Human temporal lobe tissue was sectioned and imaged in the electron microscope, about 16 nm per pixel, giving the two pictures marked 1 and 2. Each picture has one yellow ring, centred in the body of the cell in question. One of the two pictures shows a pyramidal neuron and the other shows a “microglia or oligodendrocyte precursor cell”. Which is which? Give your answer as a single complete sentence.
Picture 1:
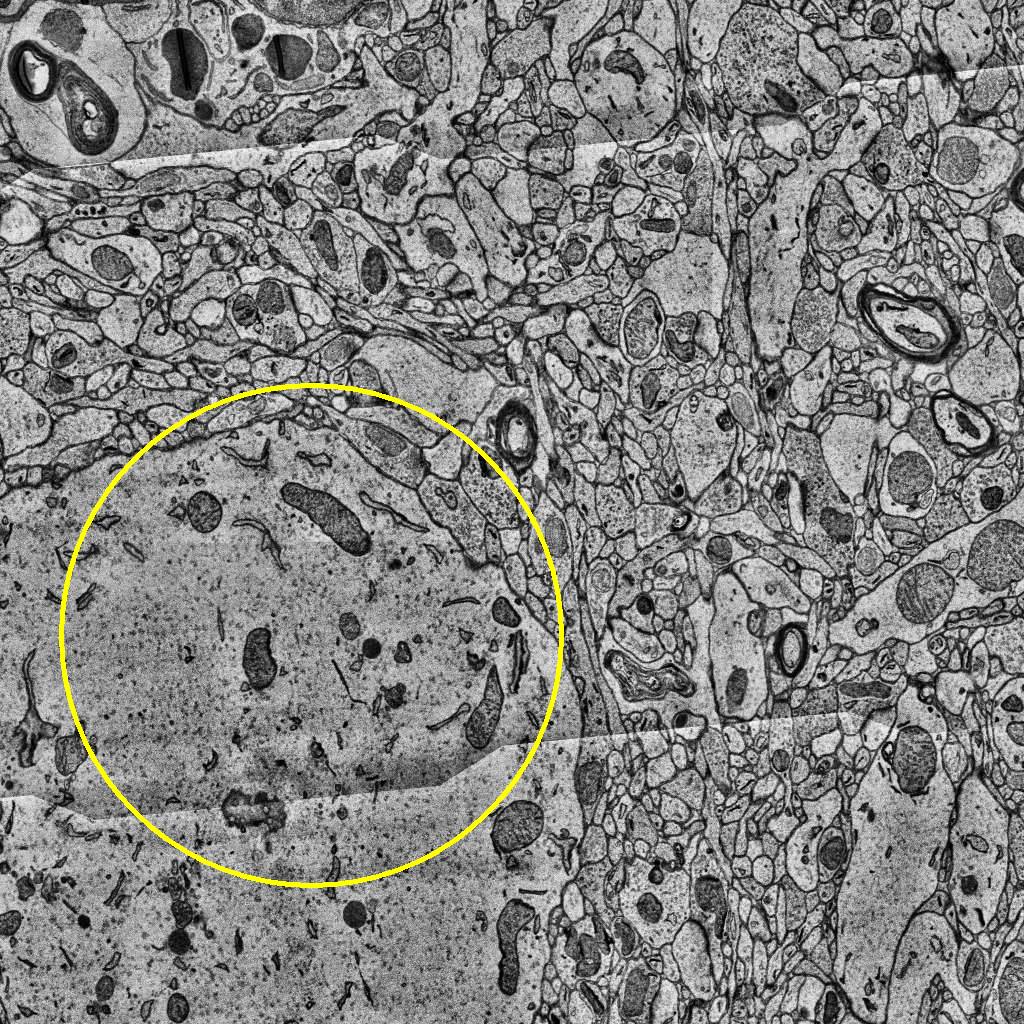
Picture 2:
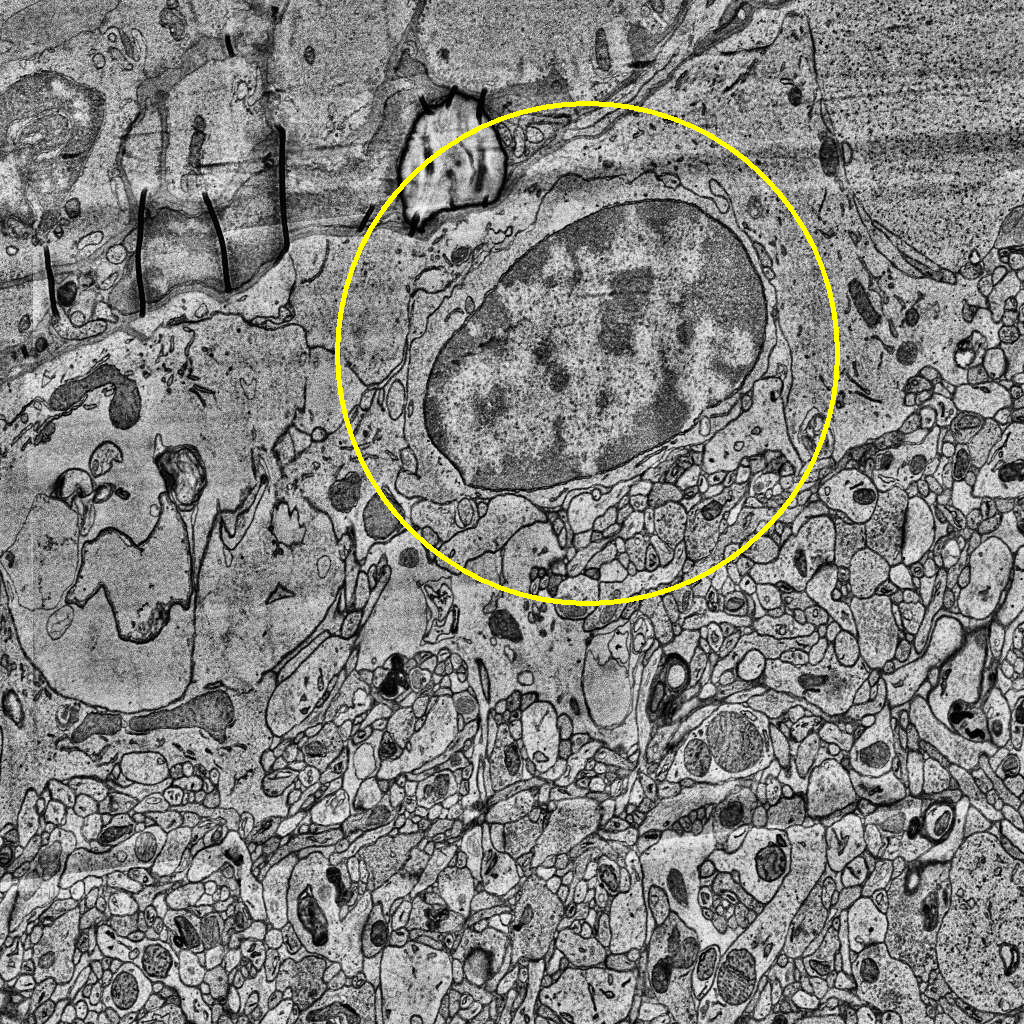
It is picture 1 that shows a pyramidal neuron, and picture 2 that shows a “microglia or oligodendrocyte precursor cell”.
